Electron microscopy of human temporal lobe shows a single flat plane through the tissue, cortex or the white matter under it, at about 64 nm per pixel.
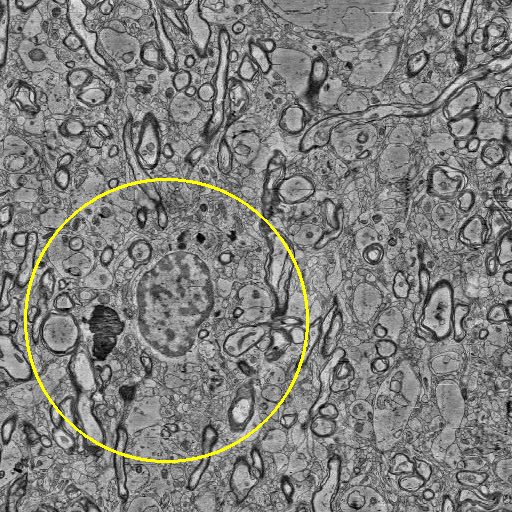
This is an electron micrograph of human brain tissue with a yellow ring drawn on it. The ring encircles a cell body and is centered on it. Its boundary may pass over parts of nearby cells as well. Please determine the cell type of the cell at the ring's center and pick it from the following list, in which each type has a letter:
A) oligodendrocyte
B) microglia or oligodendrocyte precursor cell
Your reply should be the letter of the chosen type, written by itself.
B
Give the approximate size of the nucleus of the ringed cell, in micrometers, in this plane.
In this plane, roughly 7 by 5 micrometres.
